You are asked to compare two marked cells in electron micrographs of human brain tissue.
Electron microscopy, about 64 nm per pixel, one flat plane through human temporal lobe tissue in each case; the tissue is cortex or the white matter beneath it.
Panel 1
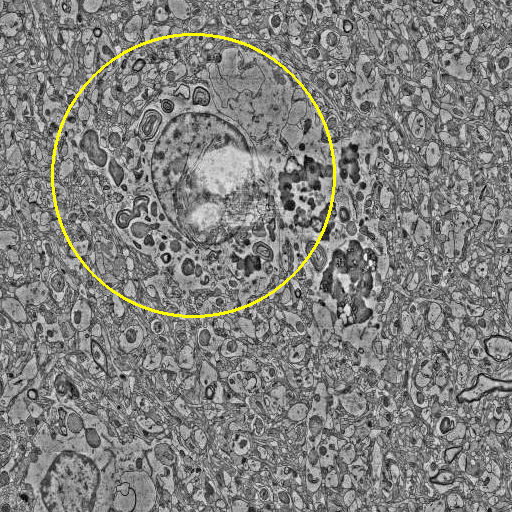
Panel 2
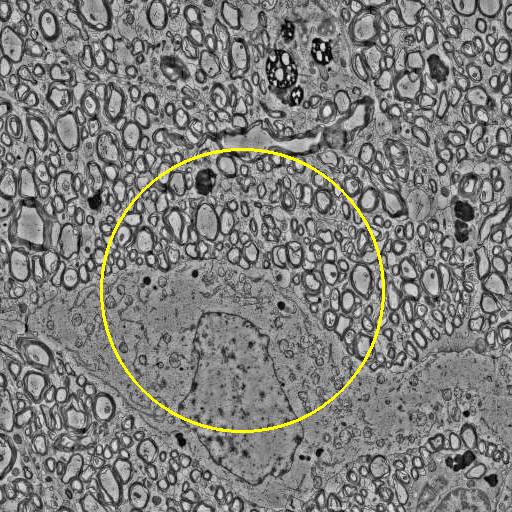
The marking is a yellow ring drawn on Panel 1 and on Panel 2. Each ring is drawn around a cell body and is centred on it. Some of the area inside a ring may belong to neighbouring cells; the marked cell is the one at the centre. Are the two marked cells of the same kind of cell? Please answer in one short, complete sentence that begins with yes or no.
No, the two marked cells are of two kinds.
